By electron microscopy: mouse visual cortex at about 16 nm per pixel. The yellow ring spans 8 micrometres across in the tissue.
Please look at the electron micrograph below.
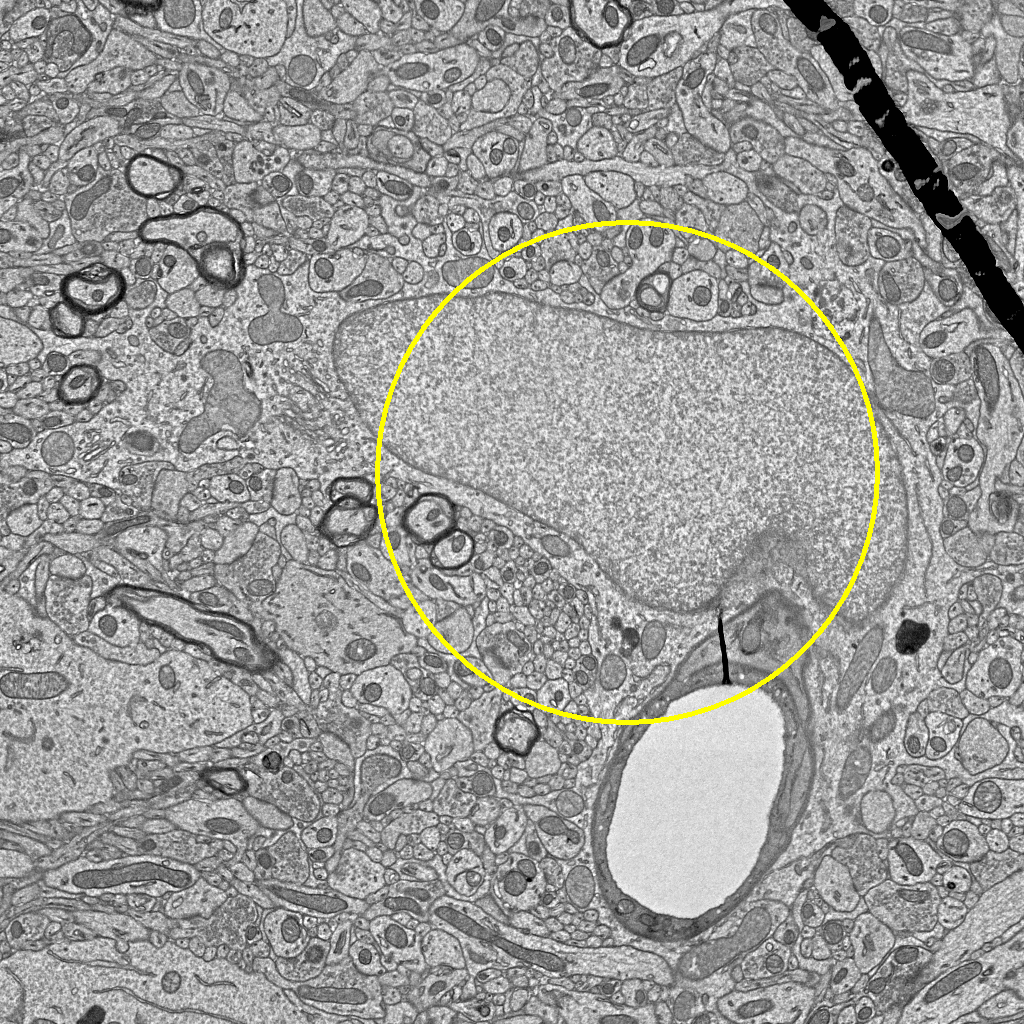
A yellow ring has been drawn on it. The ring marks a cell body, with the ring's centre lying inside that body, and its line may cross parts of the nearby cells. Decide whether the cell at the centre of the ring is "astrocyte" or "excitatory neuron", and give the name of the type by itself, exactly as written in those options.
astrocyte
